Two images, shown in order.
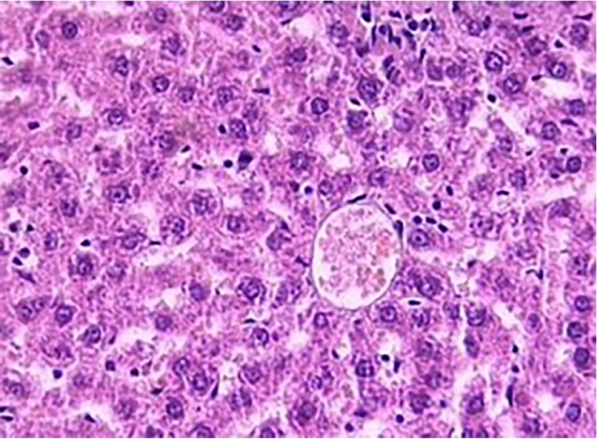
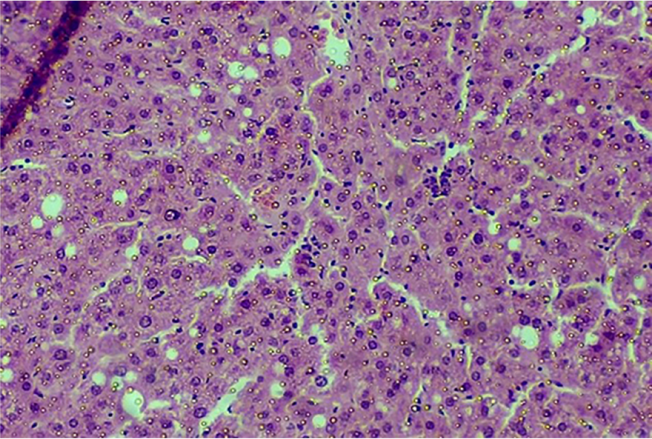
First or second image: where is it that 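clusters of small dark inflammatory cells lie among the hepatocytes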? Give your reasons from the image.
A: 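Second image: a focus of small dark round nuclei sits among the liver cells.
Conclusion: the second image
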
